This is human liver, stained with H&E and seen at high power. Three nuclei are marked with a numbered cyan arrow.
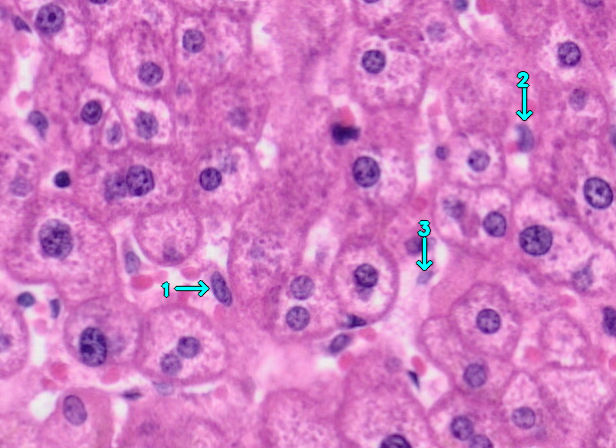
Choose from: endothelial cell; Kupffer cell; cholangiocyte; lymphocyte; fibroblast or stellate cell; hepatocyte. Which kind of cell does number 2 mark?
endothelial cell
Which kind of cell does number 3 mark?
Kupffer cell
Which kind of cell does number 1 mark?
Kupffer cell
